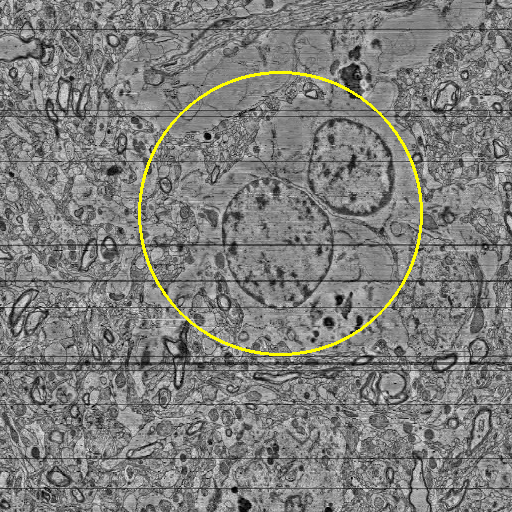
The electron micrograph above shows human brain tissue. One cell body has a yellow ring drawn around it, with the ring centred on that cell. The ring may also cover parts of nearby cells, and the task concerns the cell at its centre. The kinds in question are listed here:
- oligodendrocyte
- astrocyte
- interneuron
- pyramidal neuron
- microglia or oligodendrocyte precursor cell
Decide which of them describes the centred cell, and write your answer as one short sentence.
The centred cell is an astrocyte.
